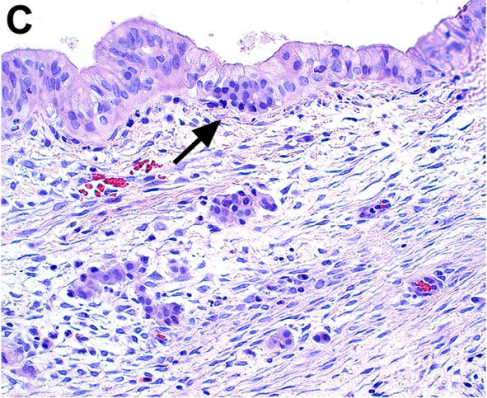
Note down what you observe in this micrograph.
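A tall columnar mucinous epithelium with pale apical cytoplasm lines the surface, with small bland cells with round dark nuclei at its base. Below, in a loose stroma of spindle cells and small vessels, uniform epithelioid cells form small solid nests.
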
